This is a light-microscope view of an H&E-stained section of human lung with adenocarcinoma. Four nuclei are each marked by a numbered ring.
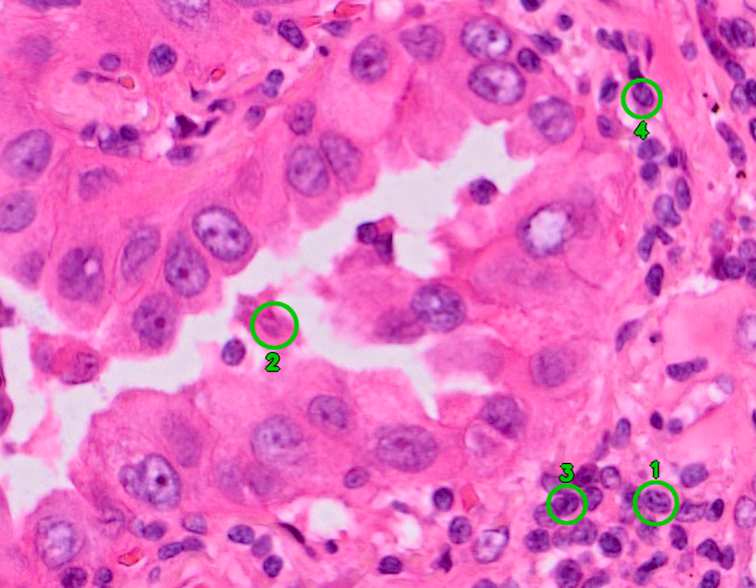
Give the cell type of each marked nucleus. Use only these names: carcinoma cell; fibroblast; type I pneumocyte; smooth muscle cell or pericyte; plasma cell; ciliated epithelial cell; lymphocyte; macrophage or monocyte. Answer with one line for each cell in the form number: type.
1: lymphocyte
2: macrophage or monocyte
3: lymphocyte
4: lymphocyte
